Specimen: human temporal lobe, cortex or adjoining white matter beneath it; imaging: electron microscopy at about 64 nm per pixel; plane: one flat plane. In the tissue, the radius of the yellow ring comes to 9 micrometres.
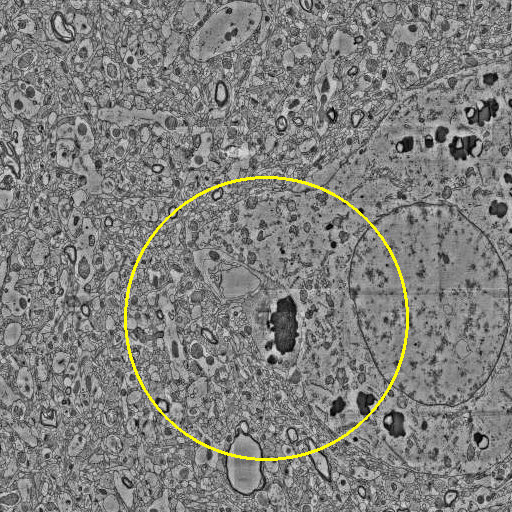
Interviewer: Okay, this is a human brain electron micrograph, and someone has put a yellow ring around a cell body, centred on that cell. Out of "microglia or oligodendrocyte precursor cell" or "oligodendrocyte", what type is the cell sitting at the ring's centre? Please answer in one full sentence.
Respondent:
The cell at the centre of the yellow ring in this picture is an oligodendrocyte.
